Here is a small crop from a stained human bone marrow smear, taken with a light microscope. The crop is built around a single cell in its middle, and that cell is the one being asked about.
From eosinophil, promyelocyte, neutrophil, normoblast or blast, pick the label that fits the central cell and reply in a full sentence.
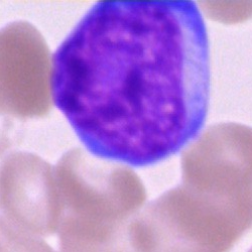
In the middle of this smear crop is a blast.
